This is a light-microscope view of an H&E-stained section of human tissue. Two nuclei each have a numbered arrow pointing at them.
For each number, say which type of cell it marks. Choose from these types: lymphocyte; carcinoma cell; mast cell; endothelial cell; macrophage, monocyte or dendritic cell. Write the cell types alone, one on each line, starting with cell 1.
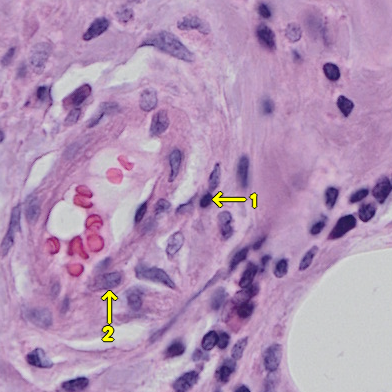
lymphocyte
endothelial cell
